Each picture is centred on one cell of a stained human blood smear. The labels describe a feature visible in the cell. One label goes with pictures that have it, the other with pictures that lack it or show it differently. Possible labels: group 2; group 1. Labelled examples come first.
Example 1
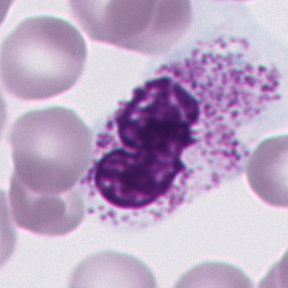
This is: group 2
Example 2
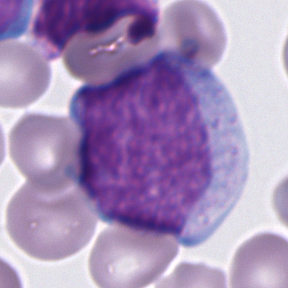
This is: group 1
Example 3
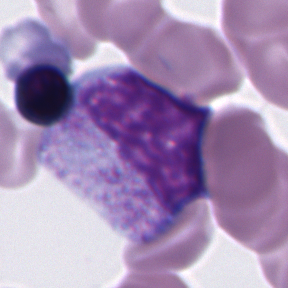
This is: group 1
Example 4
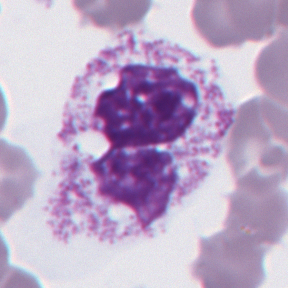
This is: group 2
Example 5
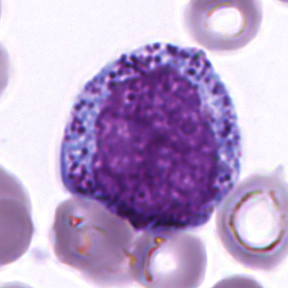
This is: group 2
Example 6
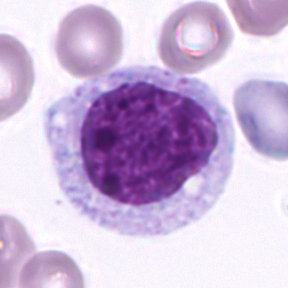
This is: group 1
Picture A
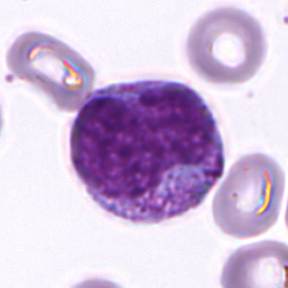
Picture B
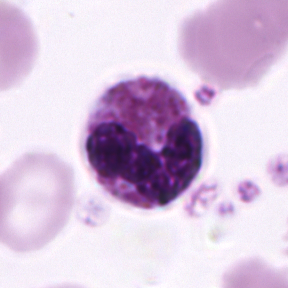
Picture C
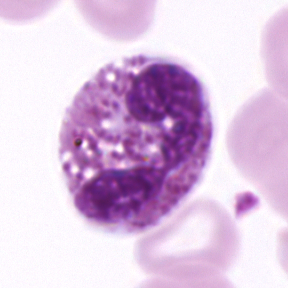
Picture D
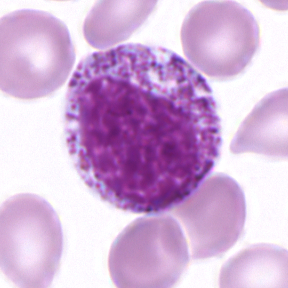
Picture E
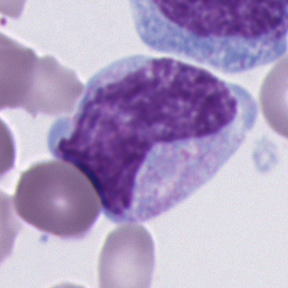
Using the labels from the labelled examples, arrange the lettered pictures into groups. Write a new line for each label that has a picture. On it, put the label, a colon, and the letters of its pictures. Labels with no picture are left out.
group 2: C, D
group 1: A, B, E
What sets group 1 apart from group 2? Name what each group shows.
group 1, fine or small granules; group 2, coarse or large granules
